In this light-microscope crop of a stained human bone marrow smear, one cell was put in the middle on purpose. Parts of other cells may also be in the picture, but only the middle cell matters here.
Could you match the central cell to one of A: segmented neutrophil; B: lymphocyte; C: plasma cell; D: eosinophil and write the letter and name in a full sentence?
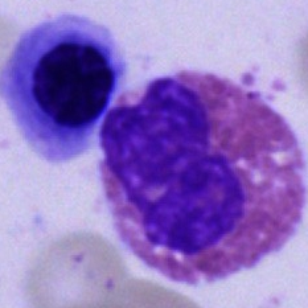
The centered cell is an eosinophil, which is why option D is right.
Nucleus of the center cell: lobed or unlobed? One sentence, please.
It is worth mentioning that the nucleus carries two or more lobes.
